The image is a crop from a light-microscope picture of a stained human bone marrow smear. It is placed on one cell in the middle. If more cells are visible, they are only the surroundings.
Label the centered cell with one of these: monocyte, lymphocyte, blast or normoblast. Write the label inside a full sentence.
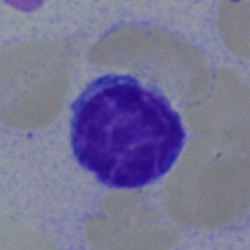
Regarding the central cell, it is a lymphocyte.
